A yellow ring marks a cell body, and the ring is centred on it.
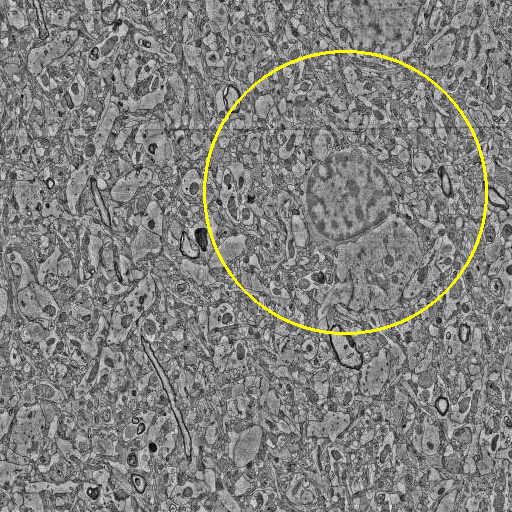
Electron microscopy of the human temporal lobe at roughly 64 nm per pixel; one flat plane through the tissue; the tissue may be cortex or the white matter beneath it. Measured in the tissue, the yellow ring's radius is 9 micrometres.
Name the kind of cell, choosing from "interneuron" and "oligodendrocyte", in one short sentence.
The marked cell body belongs to an oligodendrocyte.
